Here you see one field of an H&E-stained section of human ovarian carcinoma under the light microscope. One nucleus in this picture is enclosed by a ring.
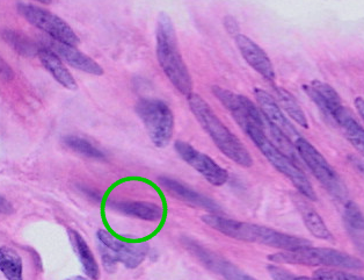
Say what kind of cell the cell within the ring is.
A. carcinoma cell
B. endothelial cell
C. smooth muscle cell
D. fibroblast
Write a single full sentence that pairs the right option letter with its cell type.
It is option C that is correct, the cell within the ring being a smooth muscle cell.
